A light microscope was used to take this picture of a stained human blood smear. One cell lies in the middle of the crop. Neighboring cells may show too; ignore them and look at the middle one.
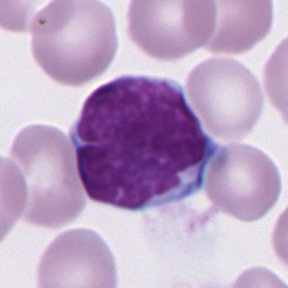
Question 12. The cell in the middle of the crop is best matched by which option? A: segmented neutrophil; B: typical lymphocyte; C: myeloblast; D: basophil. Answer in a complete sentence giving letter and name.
The correct identification, given in option B, is that the central cell is a typical lymphocyte.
